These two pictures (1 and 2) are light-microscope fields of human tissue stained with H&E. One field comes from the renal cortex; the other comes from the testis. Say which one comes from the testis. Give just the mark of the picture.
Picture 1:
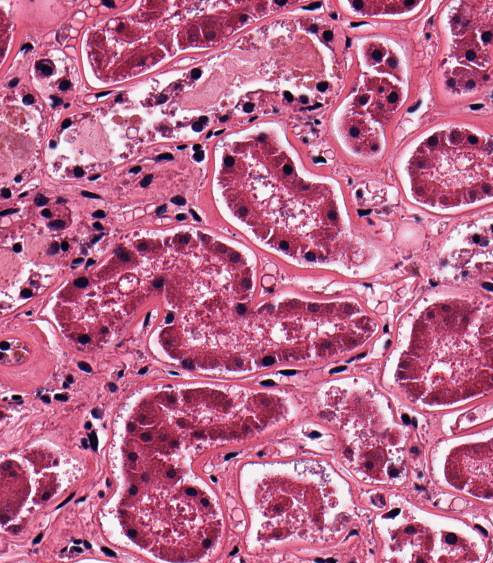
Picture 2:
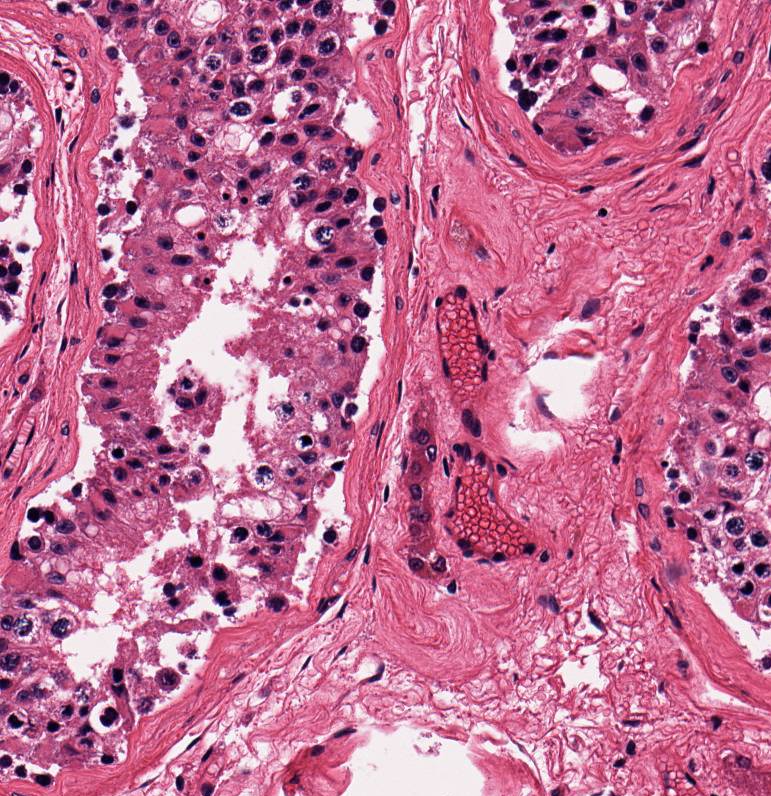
2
